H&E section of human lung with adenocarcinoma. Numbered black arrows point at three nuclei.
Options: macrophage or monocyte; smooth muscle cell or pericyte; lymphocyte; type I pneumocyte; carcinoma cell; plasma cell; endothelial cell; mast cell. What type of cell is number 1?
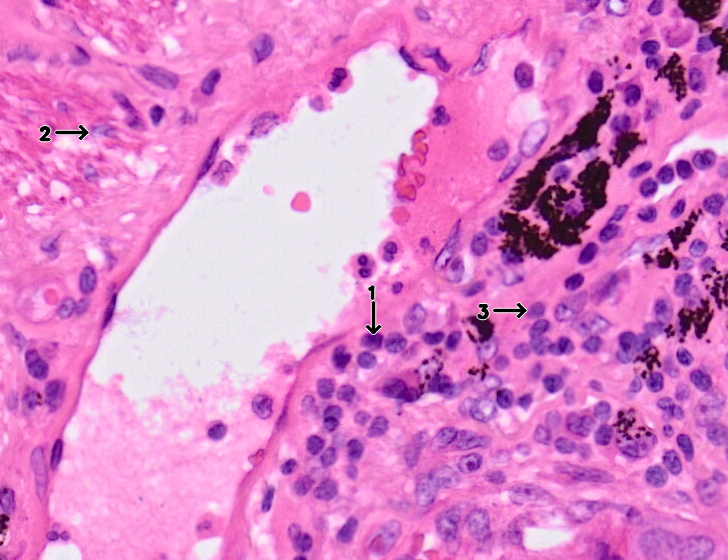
lymphocyte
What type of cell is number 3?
lymphocyte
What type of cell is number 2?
smooth muscle cell or pericyte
